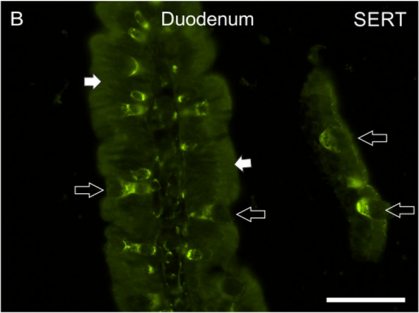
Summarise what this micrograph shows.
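The columnar enterocytes carry a faint diffuse green in their cytoplasm. Scattered among them are single goblet cells that stand out by a bright green in their lower portion. A thin core of connective tissue runs down the middle of the villus between the two epithelial layers.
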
